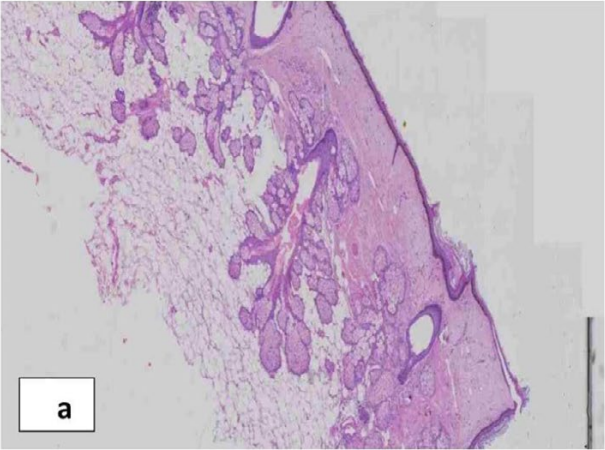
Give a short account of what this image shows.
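This is skin-like wall, with a thin purple squamous epithelium along the right-hand surface and dense pink dermis beneath it. Within the dermis lie clusters of pale lobulated sebaceous glands and hair follicles, some cut across as round openings. Toward the left the tissue turns into pale fat.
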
